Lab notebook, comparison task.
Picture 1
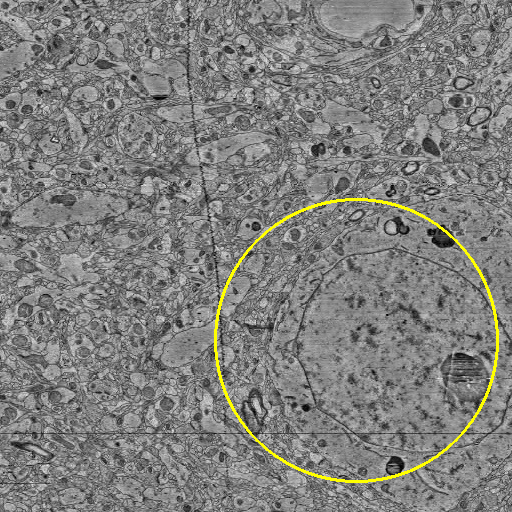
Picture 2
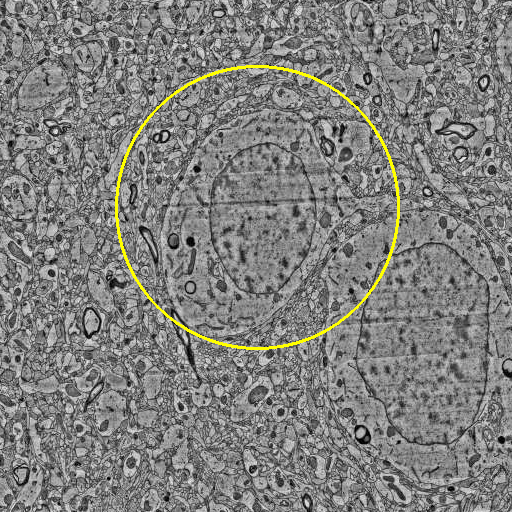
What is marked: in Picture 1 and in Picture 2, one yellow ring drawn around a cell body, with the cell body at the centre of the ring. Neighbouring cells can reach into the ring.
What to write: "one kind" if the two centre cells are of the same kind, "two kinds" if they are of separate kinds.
one kind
